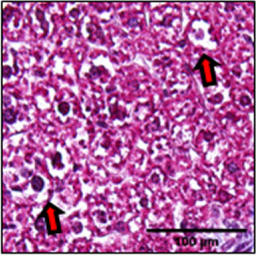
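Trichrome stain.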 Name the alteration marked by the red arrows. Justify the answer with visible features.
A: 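The arrows point at rounded cells with pale, cleared cytoplasm. These cells look larger and paler than the surrounding pink cells.
Hence: ballooning cell degeneration.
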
